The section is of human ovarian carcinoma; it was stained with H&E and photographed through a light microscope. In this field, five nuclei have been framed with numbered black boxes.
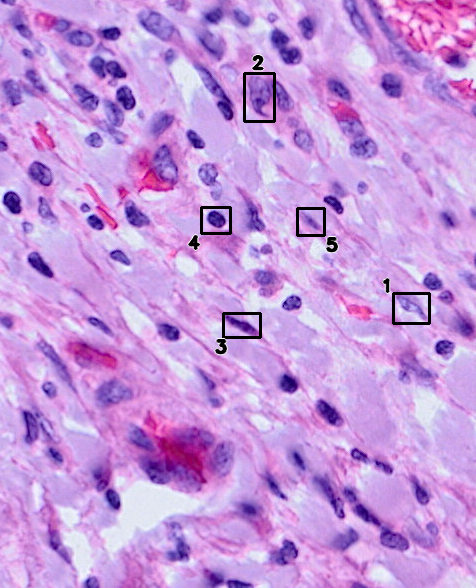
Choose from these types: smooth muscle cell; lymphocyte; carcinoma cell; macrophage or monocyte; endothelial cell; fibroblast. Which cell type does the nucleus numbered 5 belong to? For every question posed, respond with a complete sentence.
The cell assigned the number 5 is a fibroblast.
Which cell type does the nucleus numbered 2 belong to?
The numbered cell 2 is identified here as an endothelial cell.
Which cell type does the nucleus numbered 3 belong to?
Cell 3 is classified as a fibroblast.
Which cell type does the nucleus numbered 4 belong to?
Denoted by the label 4 in the section is a lymphocyte.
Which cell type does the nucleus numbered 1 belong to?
Belonging to a fibroblast is the nucleus that carries the number 1.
